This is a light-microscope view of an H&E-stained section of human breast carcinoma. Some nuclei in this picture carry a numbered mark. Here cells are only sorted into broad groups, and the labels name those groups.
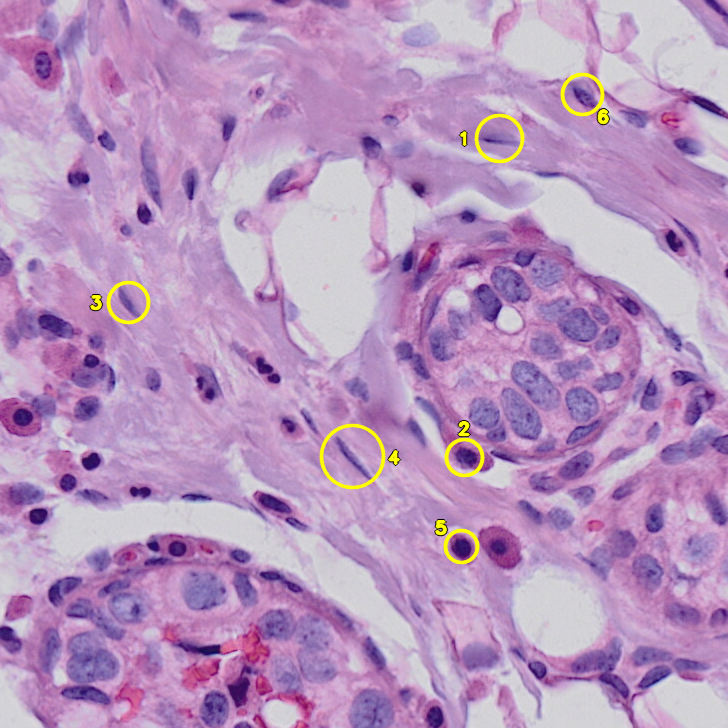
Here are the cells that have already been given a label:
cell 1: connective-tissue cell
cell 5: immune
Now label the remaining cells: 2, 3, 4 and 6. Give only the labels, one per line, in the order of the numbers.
immune
connective-tissue cell
connective-tissue cell
connective-tissue cell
